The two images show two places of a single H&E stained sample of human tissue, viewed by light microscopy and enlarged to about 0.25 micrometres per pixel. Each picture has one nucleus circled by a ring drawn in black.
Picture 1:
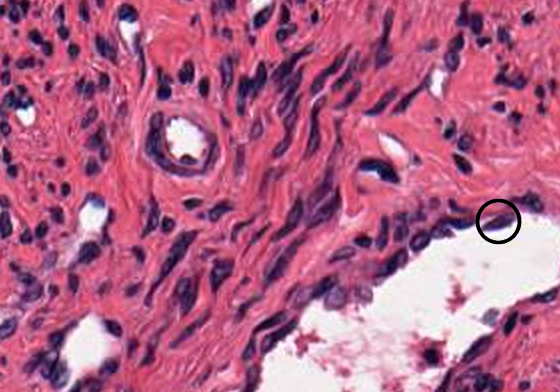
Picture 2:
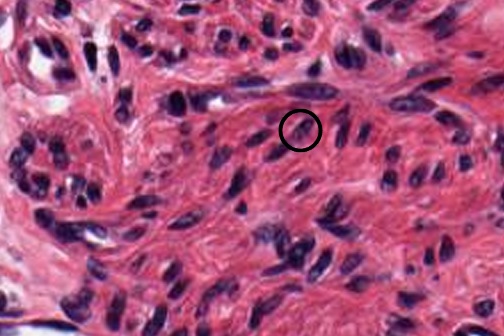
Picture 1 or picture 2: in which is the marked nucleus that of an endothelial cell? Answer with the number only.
1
